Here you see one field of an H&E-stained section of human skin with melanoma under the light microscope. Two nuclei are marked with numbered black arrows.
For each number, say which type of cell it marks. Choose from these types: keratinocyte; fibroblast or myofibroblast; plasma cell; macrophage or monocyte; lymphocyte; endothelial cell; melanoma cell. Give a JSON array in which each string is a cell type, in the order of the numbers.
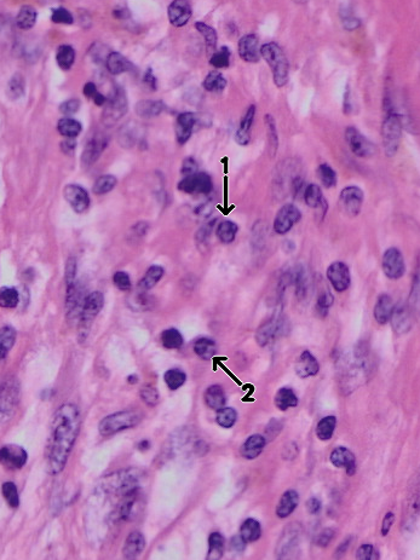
["lymphocyte", "plasma cell"]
